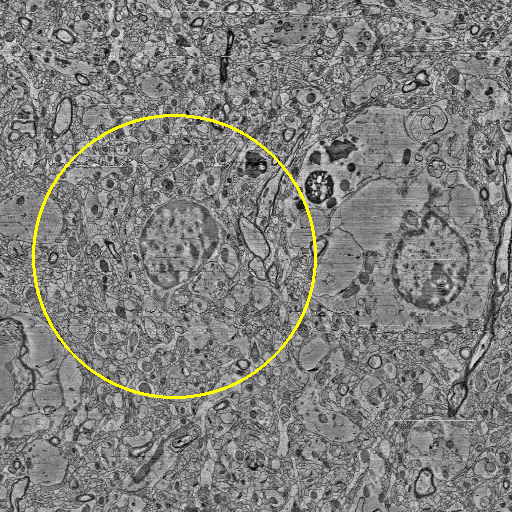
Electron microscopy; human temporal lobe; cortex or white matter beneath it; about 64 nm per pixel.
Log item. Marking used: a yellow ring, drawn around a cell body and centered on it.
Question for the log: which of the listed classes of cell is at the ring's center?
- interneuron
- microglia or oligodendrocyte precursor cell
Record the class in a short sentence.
At the center of the ring lies a microglial cell or oligodendrocyte precursor cell.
